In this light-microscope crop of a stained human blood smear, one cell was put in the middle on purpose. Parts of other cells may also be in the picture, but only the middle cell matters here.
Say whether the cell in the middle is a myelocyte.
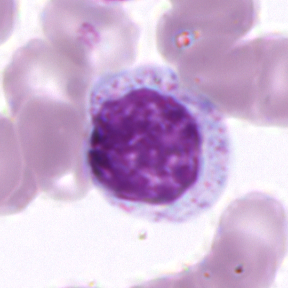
yes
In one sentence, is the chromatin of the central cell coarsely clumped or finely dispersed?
Heads up, the chromatin in this one is coarsely clumped.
